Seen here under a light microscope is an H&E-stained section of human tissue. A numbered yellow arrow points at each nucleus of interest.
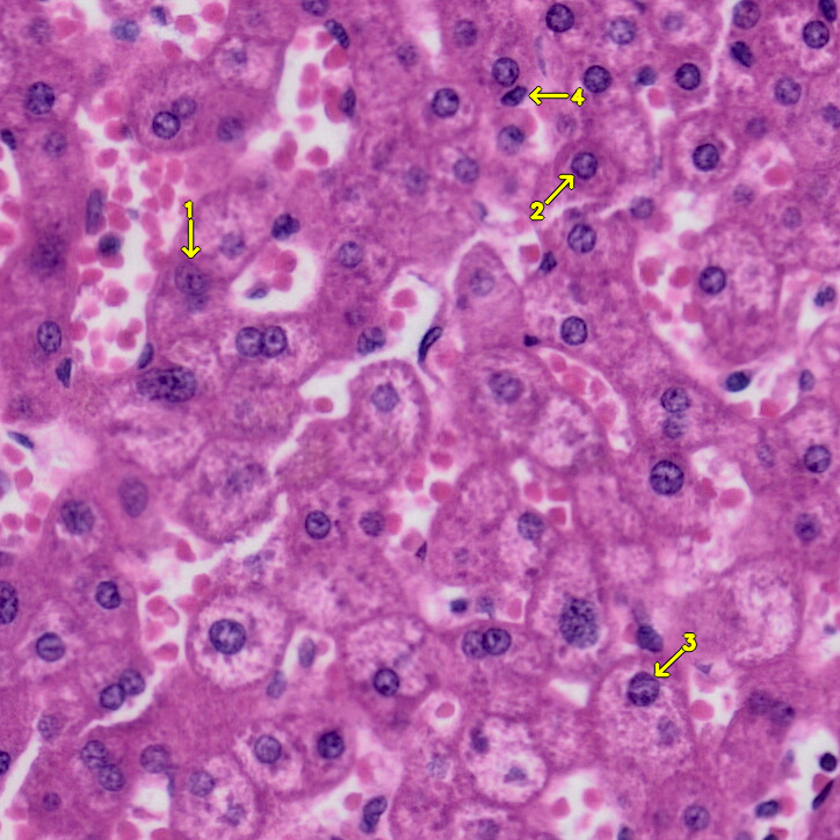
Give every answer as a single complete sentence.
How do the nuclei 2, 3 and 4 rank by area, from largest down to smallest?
From largest to smallest, the order is 3, 2, 4.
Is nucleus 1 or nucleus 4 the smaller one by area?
Nucleus 4 is the smaller one; nucleus 1 covers about 2.5 times its area.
